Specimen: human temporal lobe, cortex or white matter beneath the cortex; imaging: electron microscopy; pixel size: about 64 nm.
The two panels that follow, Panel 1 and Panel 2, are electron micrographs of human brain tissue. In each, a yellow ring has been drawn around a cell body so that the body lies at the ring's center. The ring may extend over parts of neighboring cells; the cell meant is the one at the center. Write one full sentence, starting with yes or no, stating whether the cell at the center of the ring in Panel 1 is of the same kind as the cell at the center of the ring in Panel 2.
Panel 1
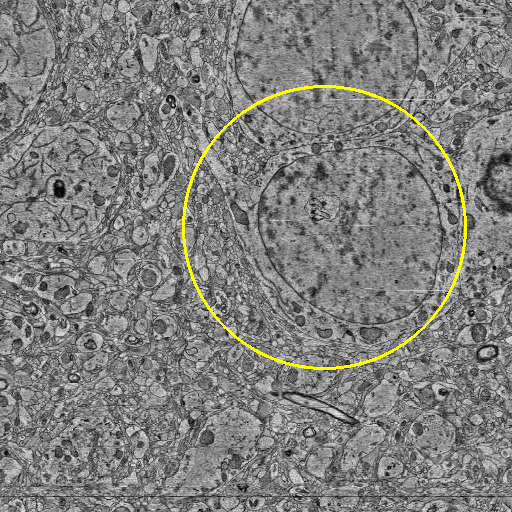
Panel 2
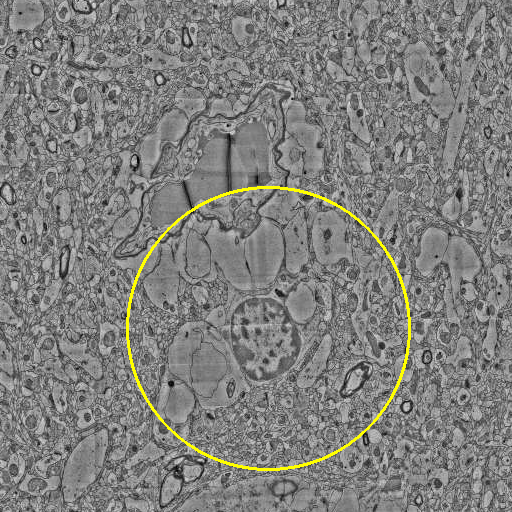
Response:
No, the cells in the two panels are of two kinds.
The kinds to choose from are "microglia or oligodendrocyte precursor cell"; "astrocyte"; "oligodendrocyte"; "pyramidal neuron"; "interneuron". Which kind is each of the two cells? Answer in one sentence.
Of the two, the first cell is a pyramidal neuron and the second cell is a microglial cell or oligodendrocyte precursor cell.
